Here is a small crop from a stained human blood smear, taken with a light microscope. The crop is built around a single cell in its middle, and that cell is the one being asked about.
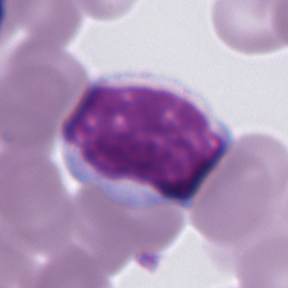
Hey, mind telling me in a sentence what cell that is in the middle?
Framed in the middle of the crop is a large granular lymphocyte.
